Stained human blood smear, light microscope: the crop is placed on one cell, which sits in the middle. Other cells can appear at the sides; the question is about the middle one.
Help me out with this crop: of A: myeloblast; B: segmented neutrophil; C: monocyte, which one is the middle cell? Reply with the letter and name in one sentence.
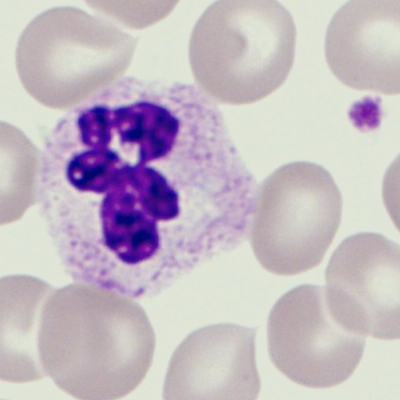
The cell placed in the middle is a segmented neutrophil; option B is correct.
